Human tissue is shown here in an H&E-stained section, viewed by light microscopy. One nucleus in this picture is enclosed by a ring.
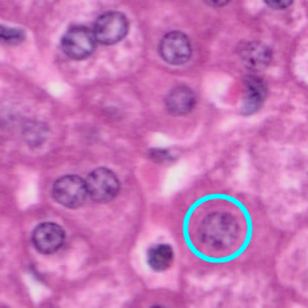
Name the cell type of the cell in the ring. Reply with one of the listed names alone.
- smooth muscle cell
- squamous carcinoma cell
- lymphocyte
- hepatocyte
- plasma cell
hepatocyte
